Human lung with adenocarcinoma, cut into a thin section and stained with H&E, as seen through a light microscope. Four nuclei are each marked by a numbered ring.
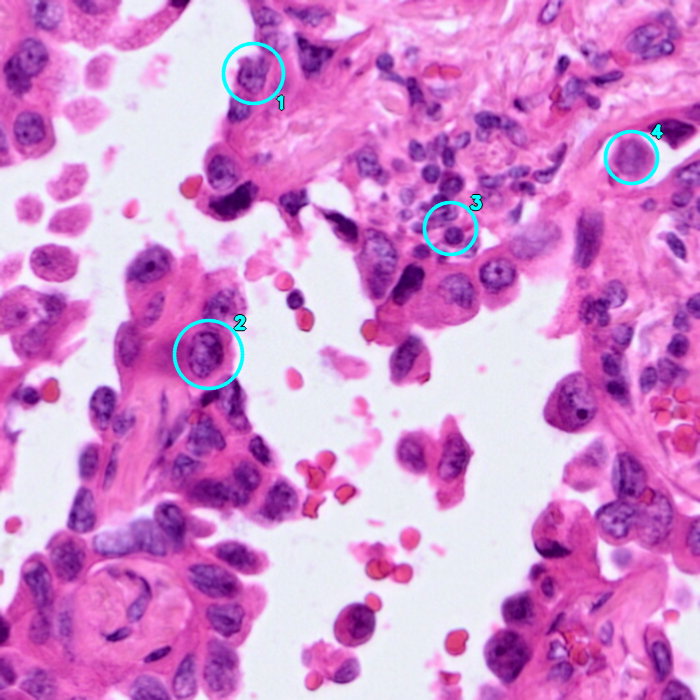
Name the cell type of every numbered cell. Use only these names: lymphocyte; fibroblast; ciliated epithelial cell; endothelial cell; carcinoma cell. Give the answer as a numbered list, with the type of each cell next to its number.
1. carcinoma cell
2. carcinoma cell
3. lymphocyte
4. carcinoma cell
